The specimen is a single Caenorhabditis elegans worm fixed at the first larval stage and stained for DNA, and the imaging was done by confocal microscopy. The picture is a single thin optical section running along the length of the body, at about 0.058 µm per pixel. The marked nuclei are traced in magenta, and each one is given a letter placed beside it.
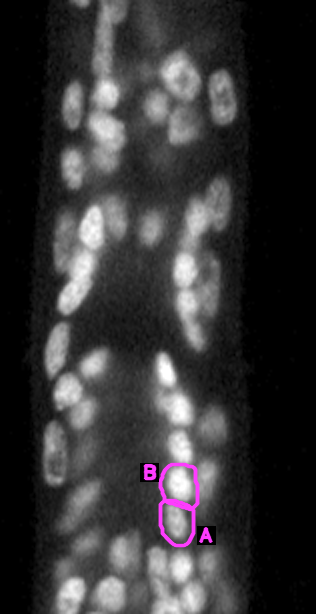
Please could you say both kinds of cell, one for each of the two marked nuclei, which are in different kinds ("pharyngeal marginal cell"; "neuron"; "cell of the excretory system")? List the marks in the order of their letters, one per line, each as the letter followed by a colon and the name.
A: cell of the excretory system
B: neuron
